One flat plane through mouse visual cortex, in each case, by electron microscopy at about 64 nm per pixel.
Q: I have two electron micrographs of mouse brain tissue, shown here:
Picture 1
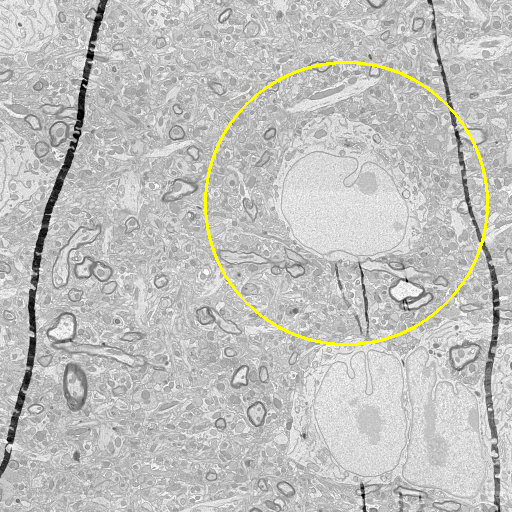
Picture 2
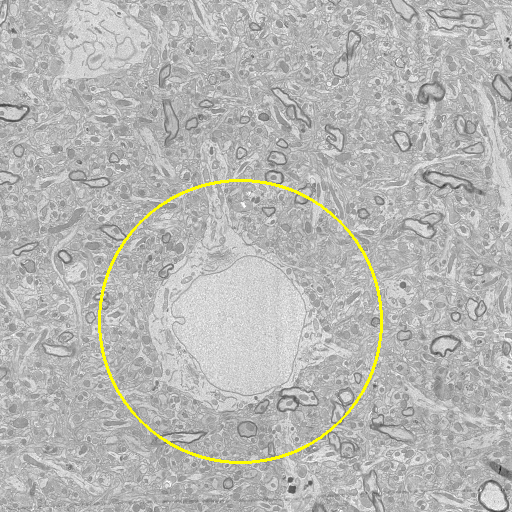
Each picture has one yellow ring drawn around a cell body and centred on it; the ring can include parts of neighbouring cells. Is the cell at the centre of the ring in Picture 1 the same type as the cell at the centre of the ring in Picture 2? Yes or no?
yes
